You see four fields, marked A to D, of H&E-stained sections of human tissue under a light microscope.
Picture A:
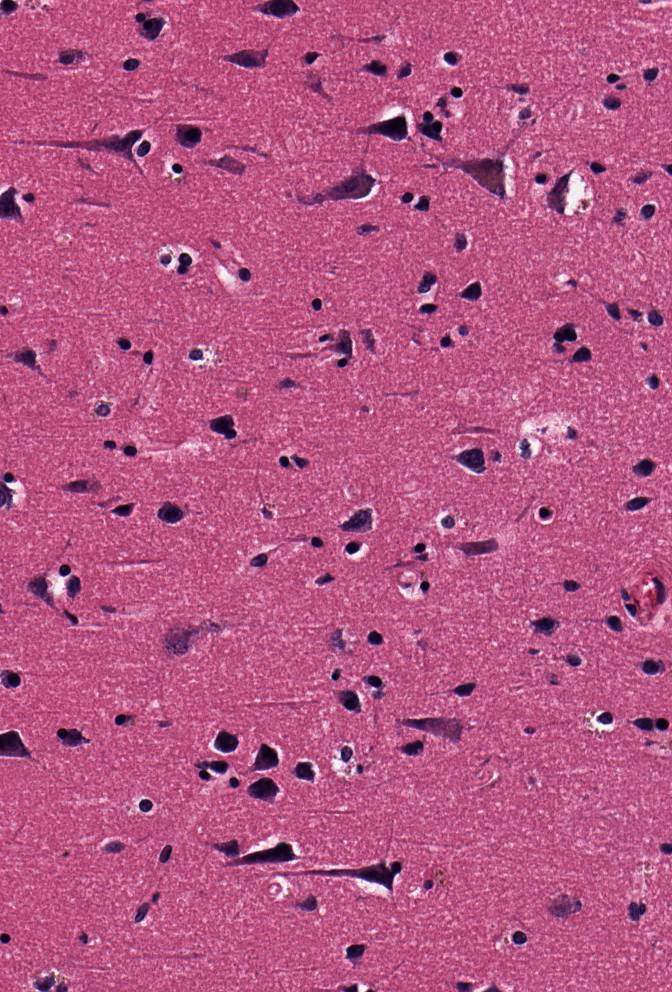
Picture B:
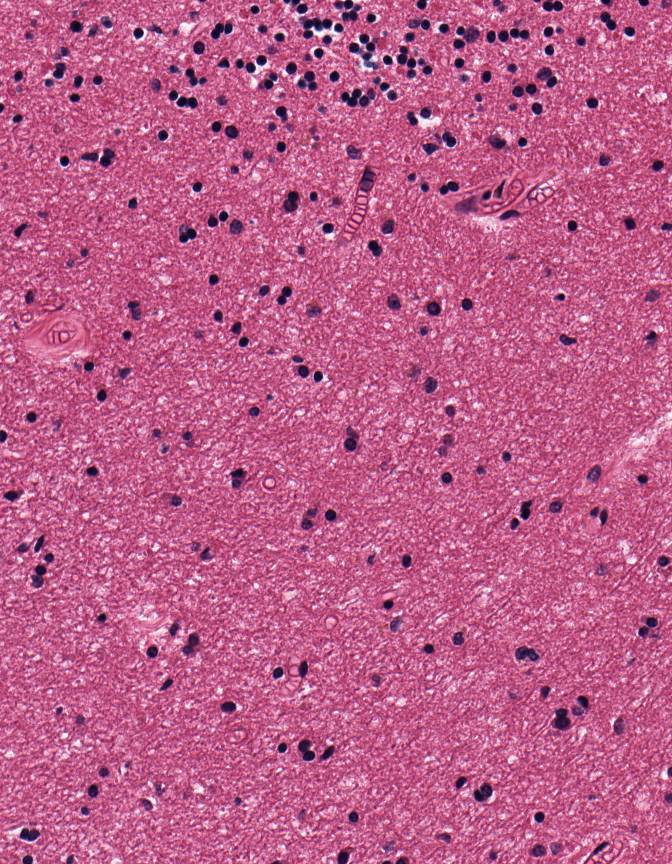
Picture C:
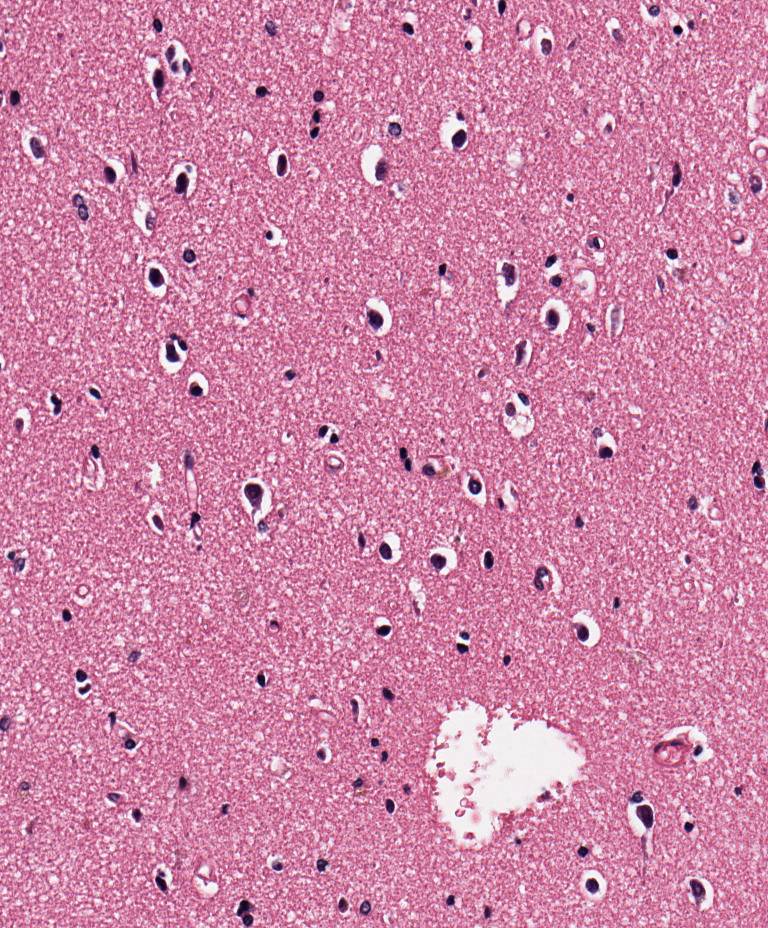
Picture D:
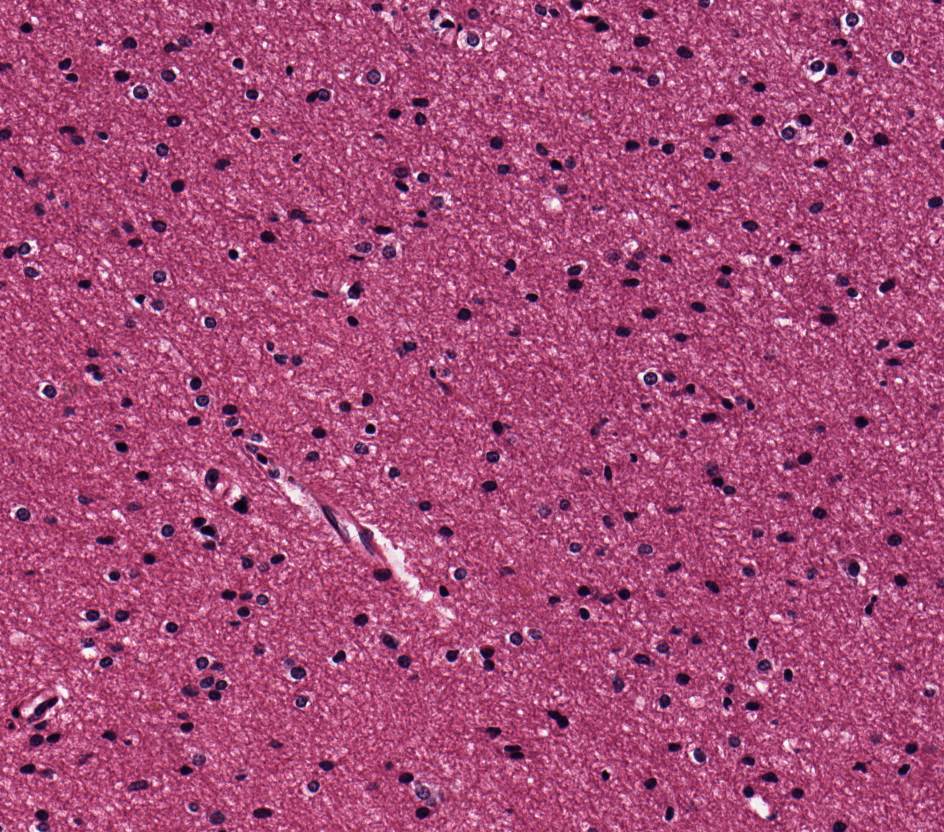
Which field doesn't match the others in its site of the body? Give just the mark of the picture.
B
